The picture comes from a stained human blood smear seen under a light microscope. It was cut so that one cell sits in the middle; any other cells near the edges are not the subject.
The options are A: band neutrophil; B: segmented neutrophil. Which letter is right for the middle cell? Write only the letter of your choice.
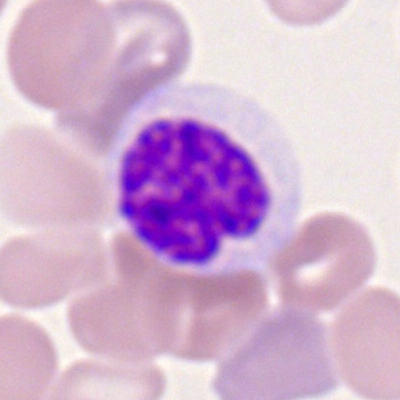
A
